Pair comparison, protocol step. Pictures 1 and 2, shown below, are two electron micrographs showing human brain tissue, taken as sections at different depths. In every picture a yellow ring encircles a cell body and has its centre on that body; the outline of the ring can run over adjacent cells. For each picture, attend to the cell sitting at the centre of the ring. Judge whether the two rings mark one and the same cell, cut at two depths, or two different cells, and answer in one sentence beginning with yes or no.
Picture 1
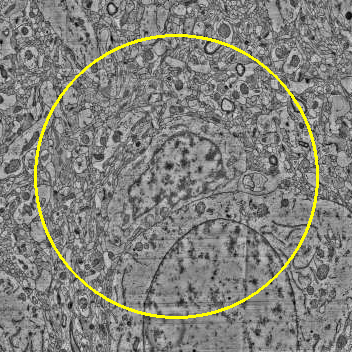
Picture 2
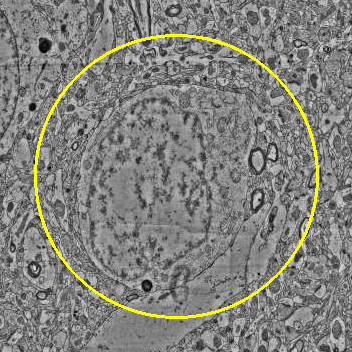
No, the ringed cells are two separate cells.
